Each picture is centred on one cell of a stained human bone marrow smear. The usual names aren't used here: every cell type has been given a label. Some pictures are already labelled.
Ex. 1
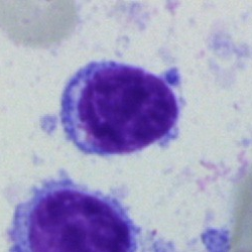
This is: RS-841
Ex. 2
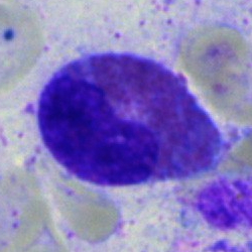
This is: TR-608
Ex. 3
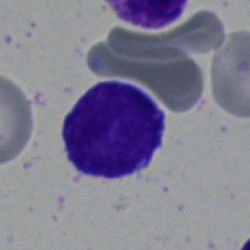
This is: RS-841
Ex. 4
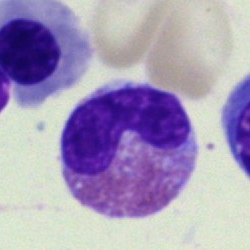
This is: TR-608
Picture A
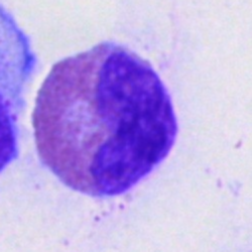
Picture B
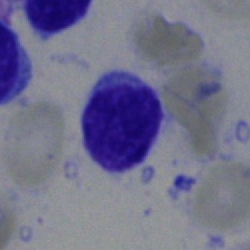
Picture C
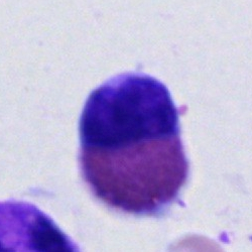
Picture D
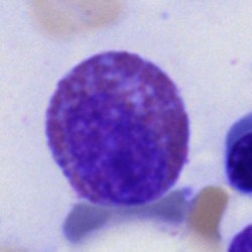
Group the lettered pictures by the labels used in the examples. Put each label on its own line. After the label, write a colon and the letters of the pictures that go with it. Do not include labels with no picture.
RS-841: B
TR-608: A, C, D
